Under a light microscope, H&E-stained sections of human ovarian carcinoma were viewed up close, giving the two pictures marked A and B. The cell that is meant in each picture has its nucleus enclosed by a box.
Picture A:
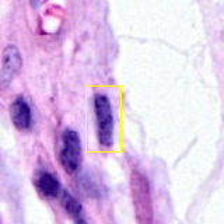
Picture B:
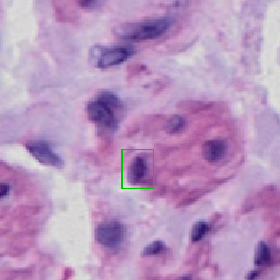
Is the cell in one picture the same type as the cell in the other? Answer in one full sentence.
No, picture A shows a “macrophage or monocyte” and picture B shows a smooth muscle cell.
